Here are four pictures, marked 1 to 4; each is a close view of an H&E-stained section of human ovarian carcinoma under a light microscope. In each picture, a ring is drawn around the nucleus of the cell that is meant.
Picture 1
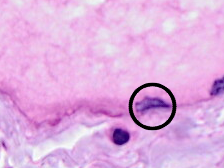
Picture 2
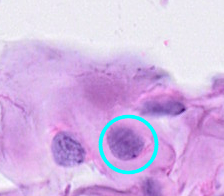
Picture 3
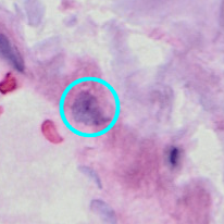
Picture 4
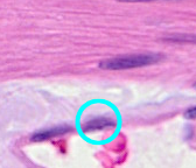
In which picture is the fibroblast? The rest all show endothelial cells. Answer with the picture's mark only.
2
